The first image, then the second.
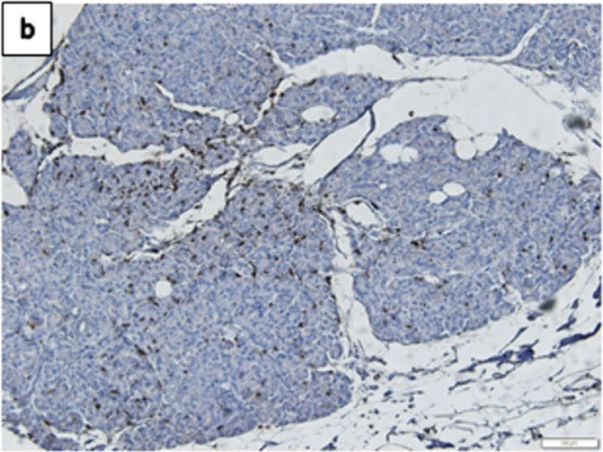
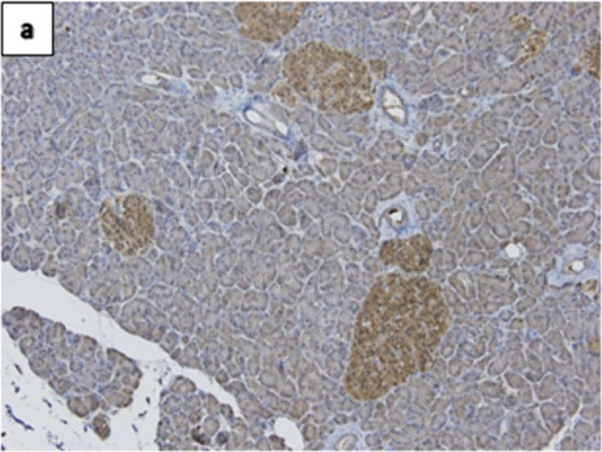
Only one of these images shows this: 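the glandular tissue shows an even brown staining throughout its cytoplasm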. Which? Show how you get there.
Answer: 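First image: the lobules are blue with only scattered small dark brown dots. Second image: acini and rounded clusters are brown throughout, the clusters darker.
Hence: the second image.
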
